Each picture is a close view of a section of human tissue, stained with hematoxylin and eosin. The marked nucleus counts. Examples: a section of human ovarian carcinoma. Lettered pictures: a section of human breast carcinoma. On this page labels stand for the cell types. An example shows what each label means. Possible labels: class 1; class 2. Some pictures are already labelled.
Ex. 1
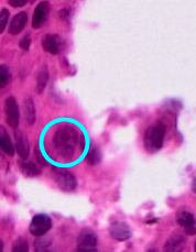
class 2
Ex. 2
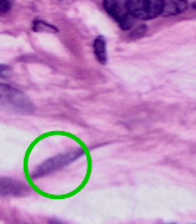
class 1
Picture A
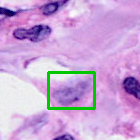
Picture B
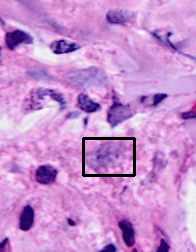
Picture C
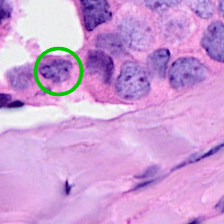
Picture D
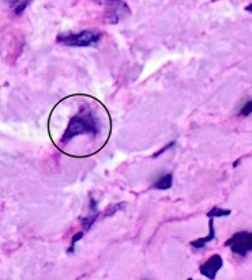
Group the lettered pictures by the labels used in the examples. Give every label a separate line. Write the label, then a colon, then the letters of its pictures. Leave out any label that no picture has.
class 1: A, B, D
class 2: C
